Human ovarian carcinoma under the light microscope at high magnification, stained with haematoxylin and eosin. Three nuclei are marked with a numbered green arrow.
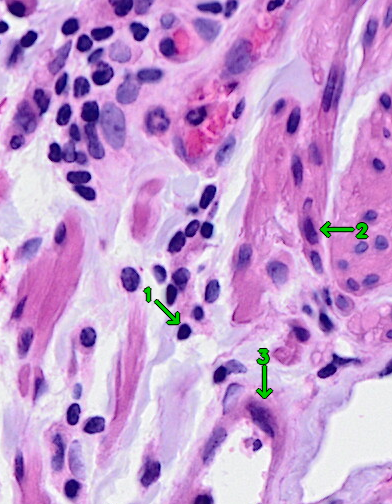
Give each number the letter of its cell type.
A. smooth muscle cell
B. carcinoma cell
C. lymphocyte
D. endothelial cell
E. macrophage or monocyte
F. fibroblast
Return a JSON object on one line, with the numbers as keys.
{"1": "C", "2": "A", "3": "D"}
